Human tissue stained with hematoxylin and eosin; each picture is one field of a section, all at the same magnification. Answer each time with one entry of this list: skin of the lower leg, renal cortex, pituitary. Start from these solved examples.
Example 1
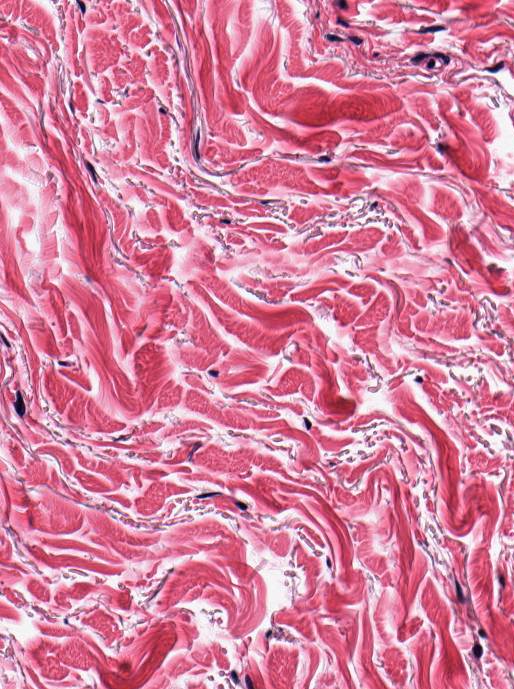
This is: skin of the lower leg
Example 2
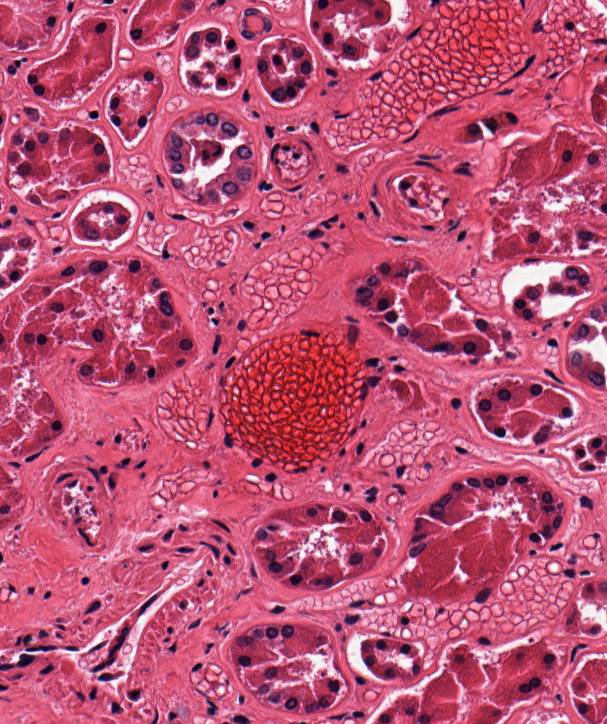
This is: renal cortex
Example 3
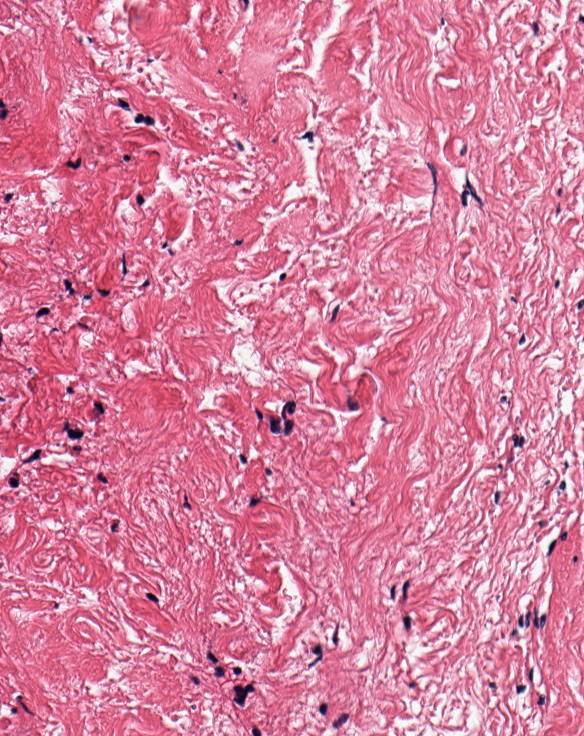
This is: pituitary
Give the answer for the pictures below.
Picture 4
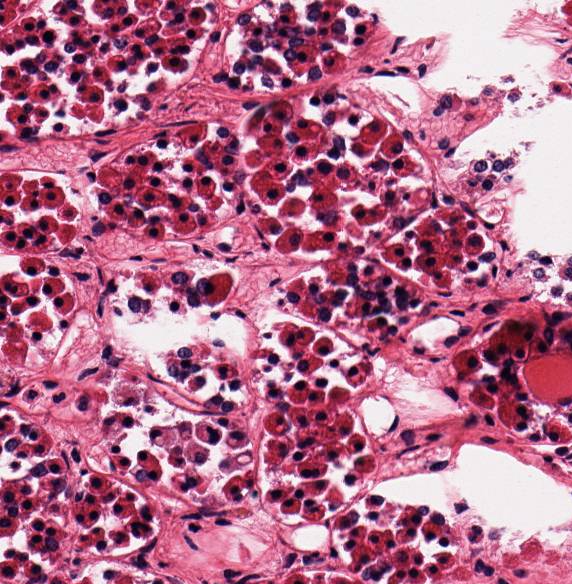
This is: pituitary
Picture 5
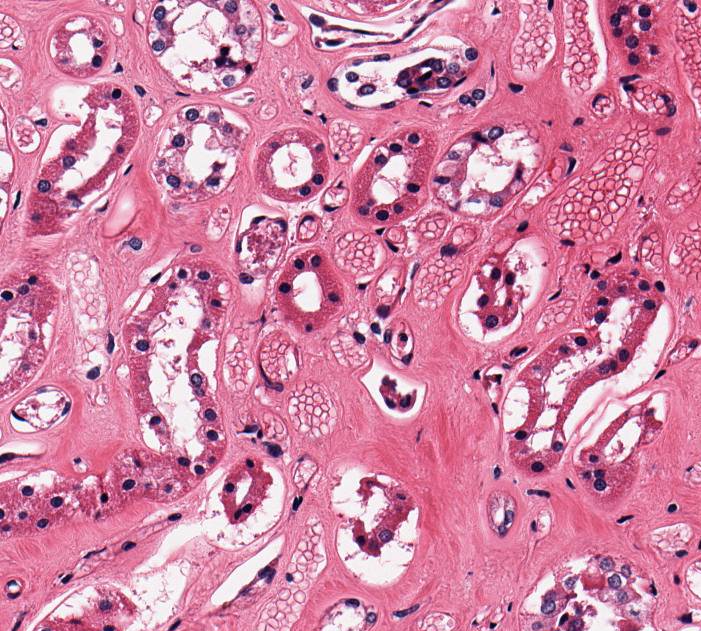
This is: renal cortex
